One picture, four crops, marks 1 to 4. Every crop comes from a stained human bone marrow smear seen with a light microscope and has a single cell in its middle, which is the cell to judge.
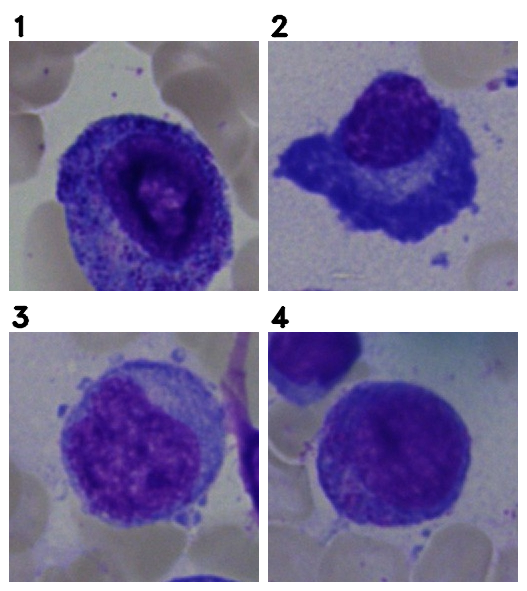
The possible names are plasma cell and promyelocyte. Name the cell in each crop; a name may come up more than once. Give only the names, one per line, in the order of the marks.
promyelocyte
plasma cell
promyelocyte
promyelocyte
